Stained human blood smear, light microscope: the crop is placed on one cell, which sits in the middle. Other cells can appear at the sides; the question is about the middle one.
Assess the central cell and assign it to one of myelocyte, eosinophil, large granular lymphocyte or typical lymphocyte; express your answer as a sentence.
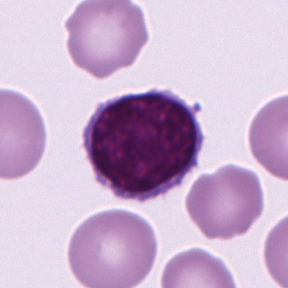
The cell centred in this crop is categorized as a typical lymphocyte.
